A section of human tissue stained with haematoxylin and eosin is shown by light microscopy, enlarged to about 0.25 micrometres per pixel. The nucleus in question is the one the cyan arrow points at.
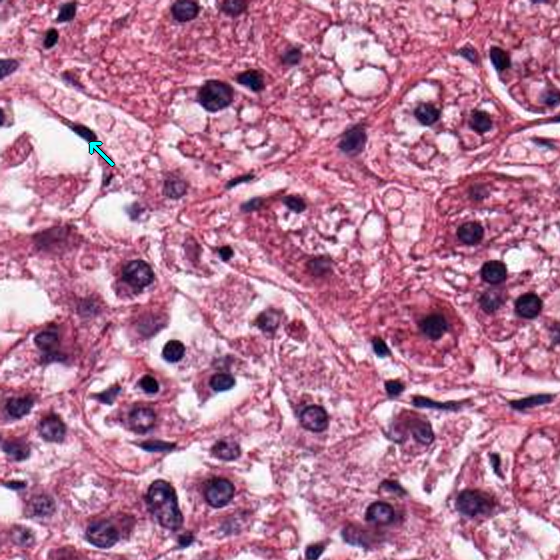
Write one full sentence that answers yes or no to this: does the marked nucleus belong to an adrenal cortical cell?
No, the marked nucleus is assigned not to an adrenal cortical cell but to a supporting cell.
